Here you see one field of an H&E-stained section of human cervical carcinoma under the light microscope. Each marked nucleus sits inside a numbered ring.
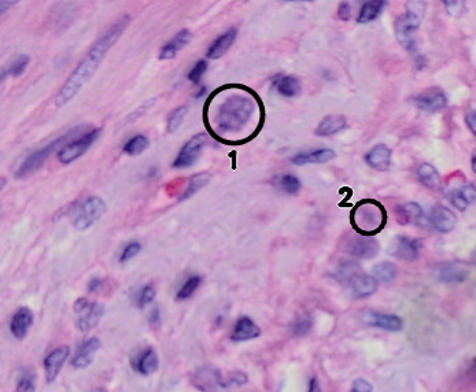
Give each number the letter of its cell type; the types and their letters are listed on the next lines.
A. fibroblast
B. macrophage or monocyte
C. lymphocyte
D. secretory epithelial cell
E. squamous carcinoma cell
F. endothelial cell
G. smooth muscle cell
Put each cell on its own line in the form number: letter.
1: B
2: F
